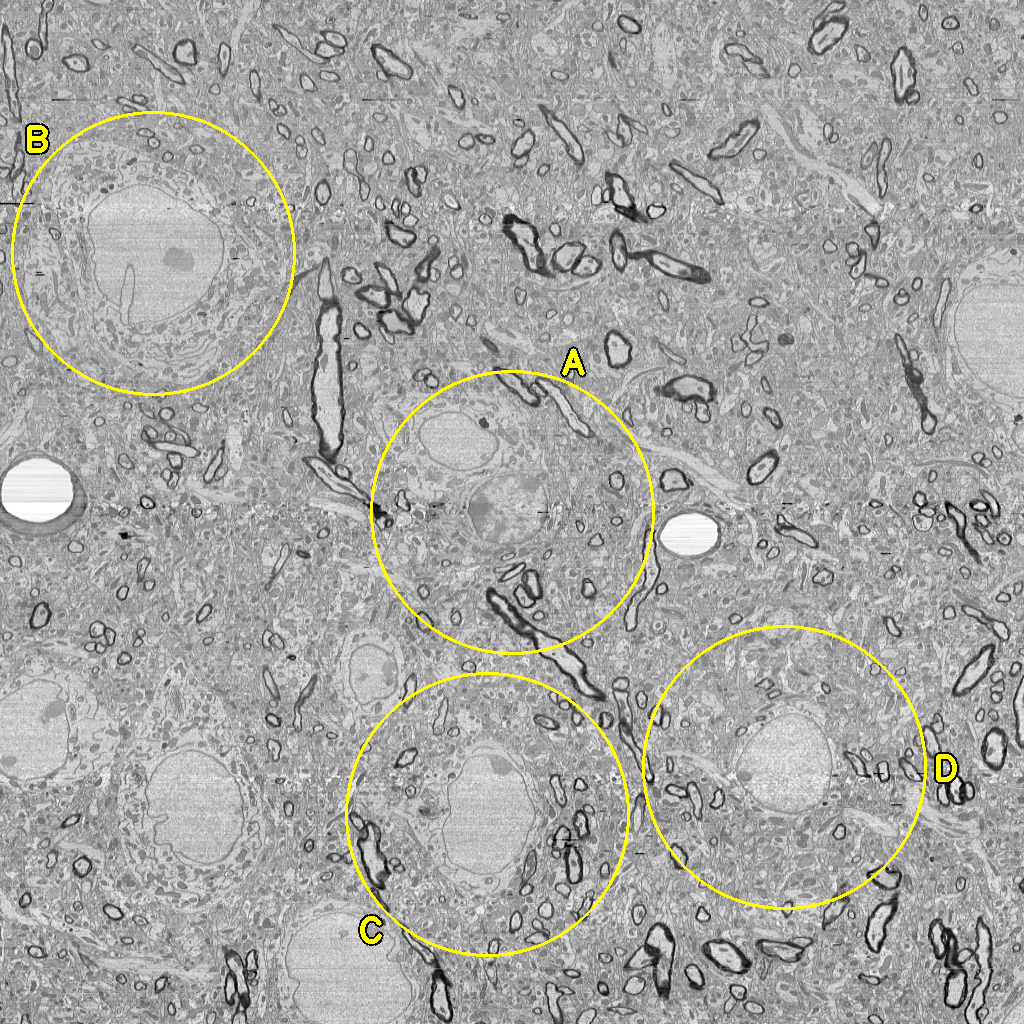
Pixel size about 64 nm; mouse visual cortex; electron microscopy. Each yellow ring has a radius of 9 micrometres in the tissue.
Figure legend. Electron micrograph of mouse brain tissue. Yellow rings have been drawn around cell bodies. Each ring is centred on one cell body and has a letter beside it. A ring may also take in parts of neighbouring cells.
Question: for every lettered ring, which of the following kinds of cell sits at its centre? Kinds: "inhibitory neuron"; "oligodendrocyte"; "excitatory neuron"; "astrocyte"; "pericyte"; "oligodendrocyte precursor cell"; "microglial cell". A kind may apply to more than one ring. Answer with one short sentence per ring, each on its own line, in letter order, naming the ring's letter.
Ring A is centred on an oligodendrocyte.
Ring B is centred on an inhibitory neuron.
Ring C is centred on an excitatory neuron.
Ring D is centred on an astrocyte.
